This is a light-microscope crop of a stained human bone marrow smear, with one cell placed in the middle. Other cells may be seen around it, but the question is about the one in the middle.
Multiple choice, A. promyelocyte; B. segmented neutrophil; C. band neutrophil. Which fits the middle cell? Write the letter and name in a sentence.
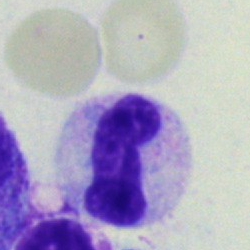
In this crop the central cell is a band neutrophil, which option C correctly states.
